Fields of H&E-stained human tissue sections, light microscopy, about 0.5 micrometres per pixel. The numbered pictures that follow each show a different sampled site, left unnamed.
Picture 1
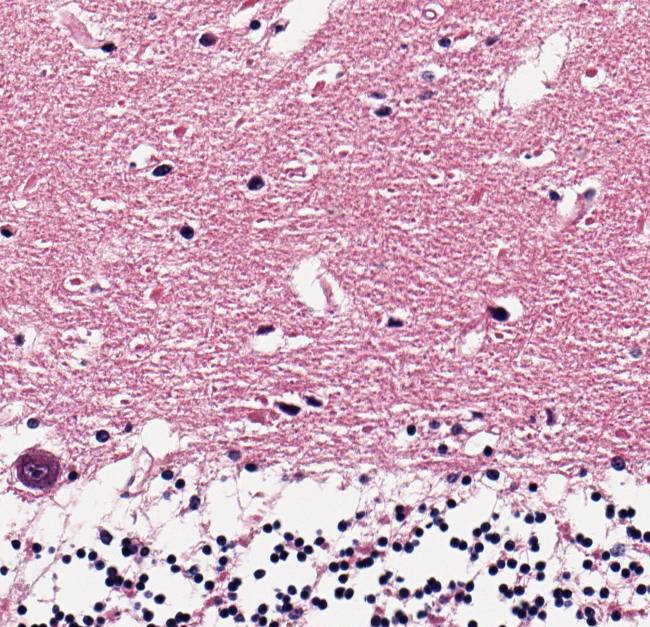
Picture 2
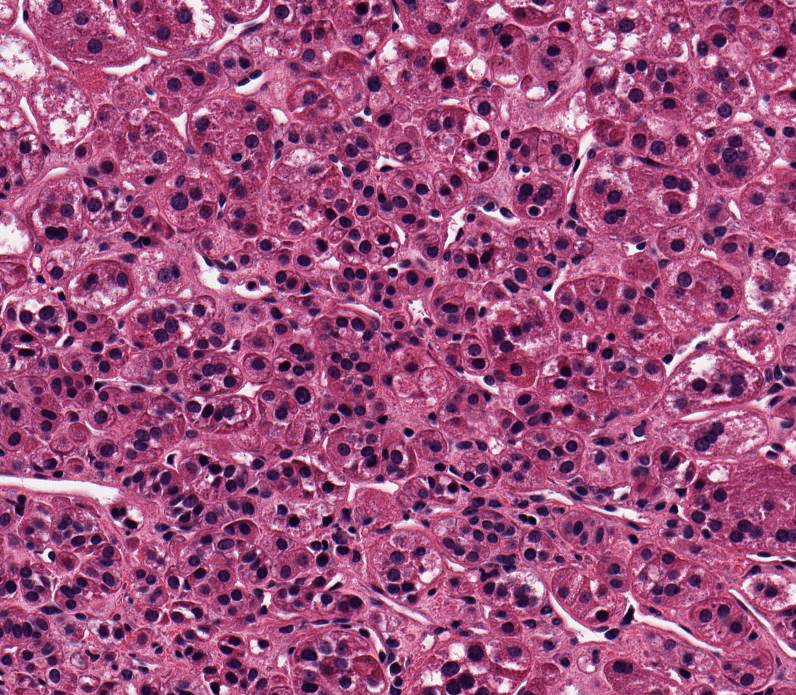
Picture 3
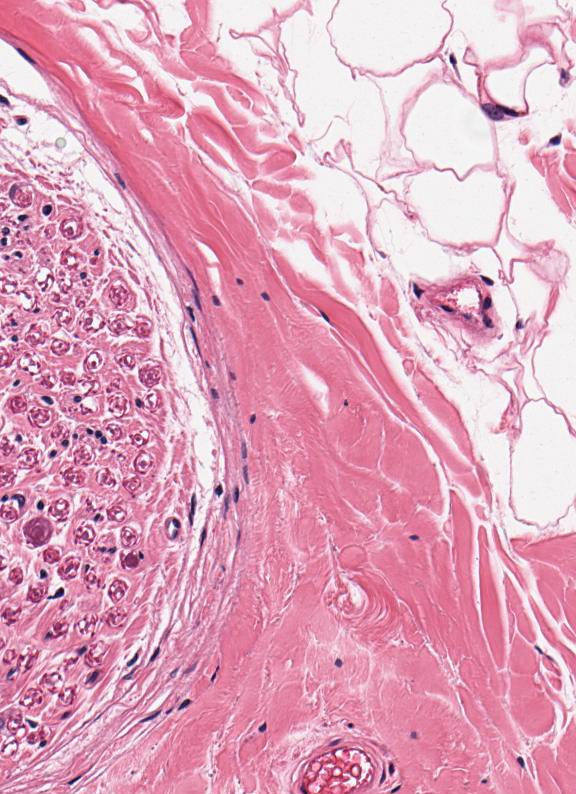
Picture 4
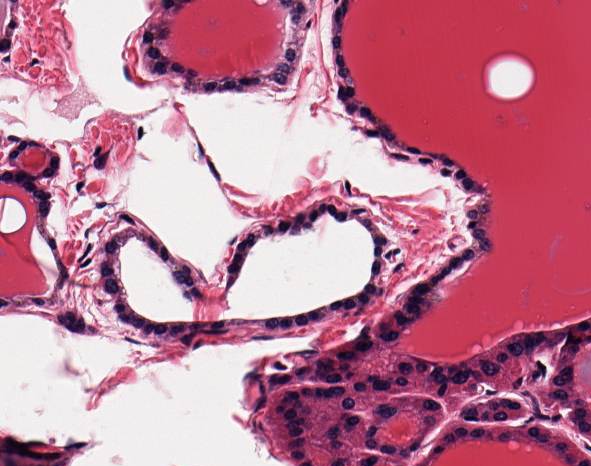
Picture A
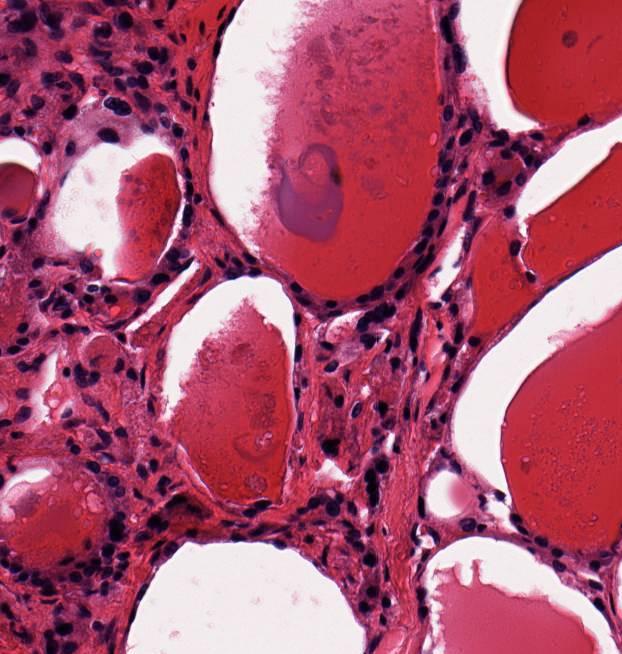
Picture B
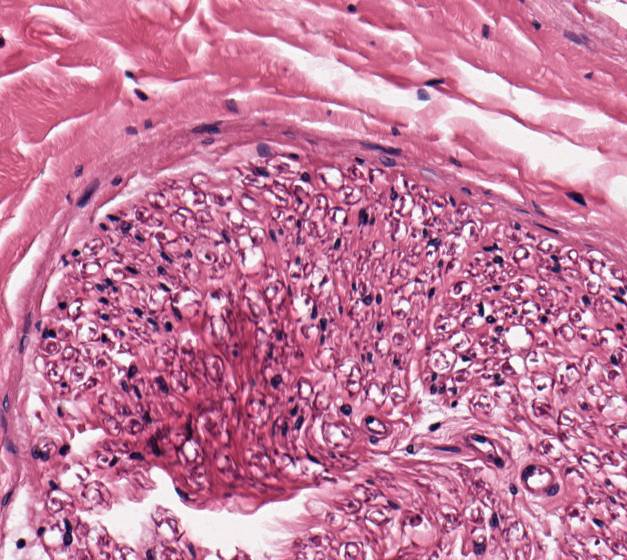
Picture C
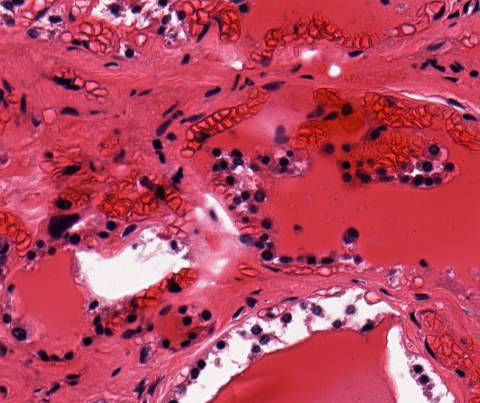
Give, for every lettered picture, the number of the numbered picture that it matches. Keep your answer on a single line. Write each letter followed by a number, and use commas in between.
A 4, B 3, C 4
